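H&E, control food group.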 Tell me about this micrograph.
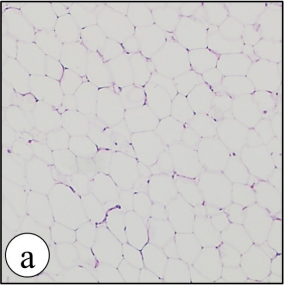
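Here is white adipose tissue with closely packed adipocytes of fairly small and even size. Each cell looks like a clear, empty polygon, because its lipid was washed out during processing, and it is bounded by only a thin pink-purple rim. Small dark nuclei lie pressed flat against the cell borders, and a few purple-stained spots mark where several cells meet, where stromal cells and small vessels sit. The cells form a regular, honeycomb-like mesh with no clusters of inflammatory cells.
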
